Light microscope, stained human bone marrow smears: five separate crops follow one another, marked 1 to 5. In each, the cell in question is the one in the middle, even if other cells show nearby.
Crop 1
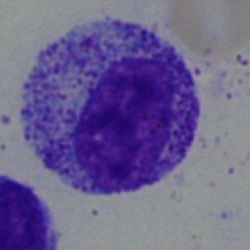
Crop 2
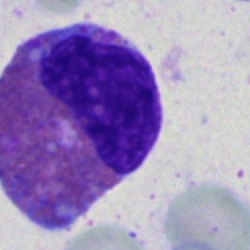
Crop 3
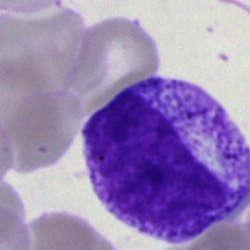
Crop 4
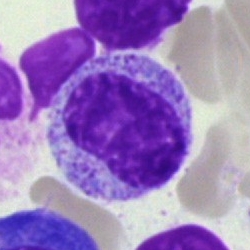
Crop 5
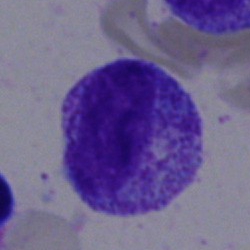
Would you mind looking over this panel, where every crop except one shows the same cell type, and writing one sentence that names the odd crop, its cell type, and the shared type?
What sets crop 2 apart is that it is an eosinophil; the others are all myelocytes.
